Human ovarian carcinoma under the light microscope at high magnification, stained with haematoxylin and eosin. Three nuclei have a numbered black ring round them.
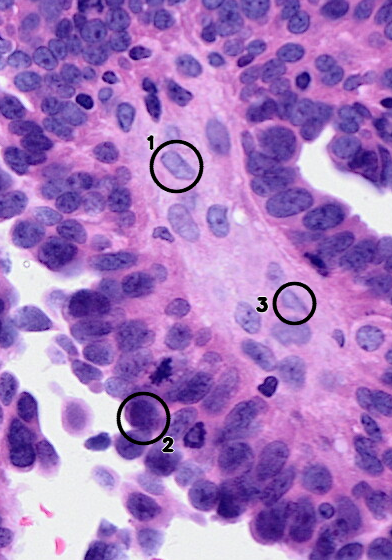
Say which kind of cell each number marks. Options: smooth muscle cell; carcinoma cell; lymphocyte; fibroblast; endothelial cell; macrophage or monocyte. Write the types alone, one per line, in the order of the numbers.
fibroblast
carcinoma cell
fibroblast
